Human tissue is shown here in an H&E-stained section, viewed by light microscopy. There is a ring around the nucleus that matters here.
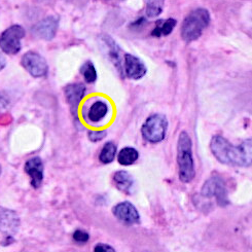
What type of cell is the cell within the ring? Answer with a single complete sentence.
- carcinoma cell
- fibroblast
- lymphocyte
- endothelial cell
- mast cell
In cellular terms, the cell within the ring is a lymphocyte.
